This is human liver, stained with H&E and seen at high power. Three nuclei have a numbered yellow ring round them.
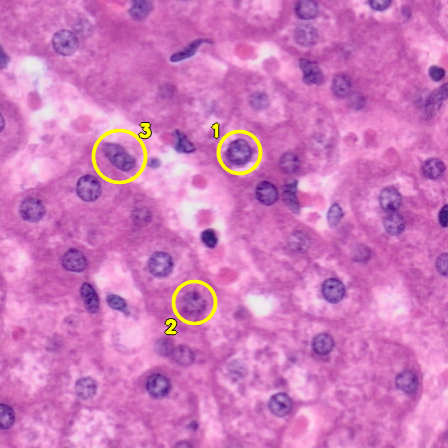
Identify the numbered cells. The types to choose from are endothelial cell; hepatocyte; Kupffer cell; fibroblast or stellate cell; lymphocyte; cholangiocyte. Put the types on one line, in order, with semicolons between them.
hepatocyte; hepatocyte; Kupffer cell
